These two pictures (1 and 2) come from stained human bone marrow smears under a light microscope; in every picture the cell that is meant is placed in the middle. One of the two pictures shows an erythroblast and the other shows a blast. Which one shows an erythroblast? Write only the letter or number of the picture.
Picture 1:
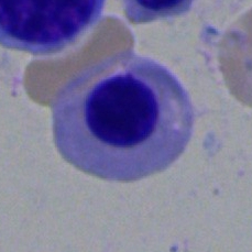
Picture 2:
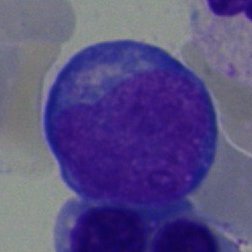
1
